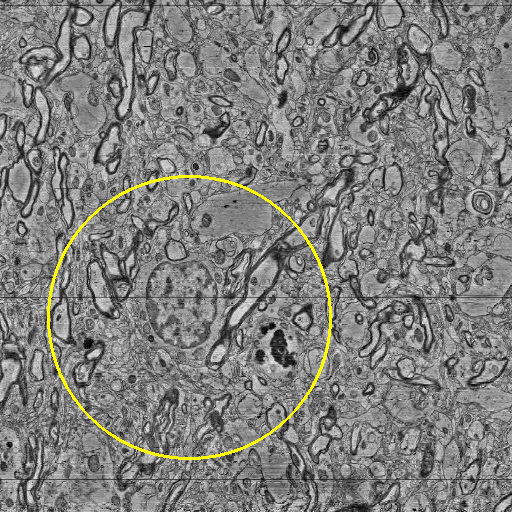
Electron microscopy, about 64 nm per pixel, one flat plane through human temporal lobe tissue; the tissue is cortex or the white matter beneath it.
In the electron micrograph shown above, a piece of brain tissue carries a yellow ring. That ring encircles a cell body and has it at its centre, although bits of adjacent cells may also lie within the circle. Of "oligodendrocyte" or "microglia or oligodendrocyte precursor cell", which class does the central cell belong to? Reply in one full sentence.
The cell body at the centre of the yellow ring belongs to an oligodendrocyte.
